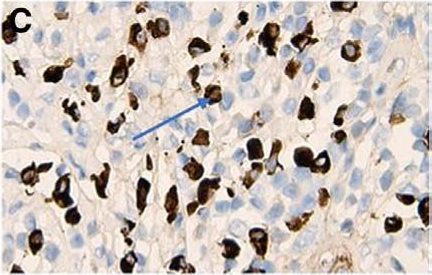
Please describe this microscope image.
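Many scattered cells show strong dark brown staining filling their cytoplasm, lying among unstained cells whose nuclei are pale blue. The stained cells are round to oval and numerous across the field.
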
